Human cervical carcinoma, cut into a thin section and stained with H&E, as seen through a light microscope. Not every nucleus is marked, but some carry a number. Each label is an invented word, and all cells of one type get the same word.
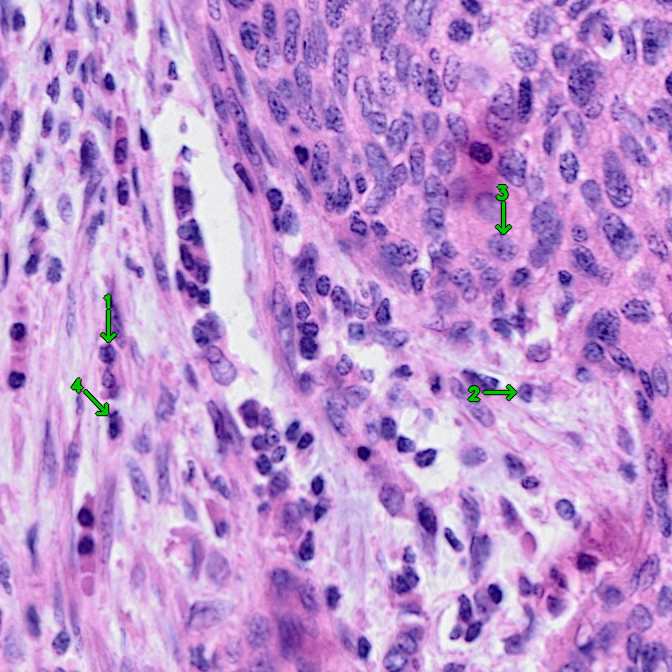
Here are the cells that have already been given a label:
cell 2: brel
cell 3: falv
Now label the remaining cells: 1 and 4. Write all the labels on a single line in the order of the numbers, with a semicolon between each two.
brel; brel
